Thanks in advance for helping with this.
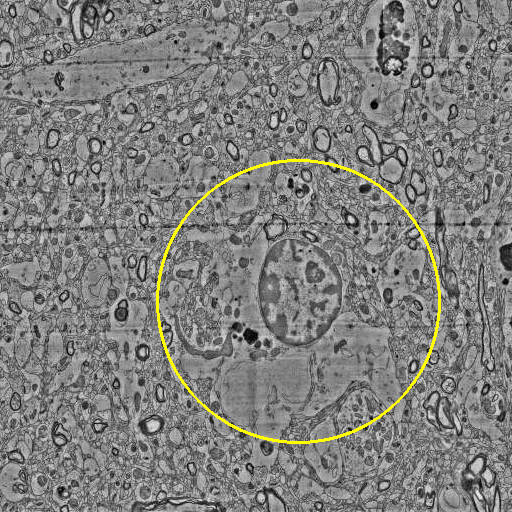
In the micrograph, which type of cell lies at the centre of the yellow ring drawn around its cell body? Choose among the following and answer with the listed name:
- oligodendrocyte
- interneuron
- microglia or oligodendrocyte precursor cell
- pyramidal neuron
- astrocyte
microglia or oligodendrocyte precursor cell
